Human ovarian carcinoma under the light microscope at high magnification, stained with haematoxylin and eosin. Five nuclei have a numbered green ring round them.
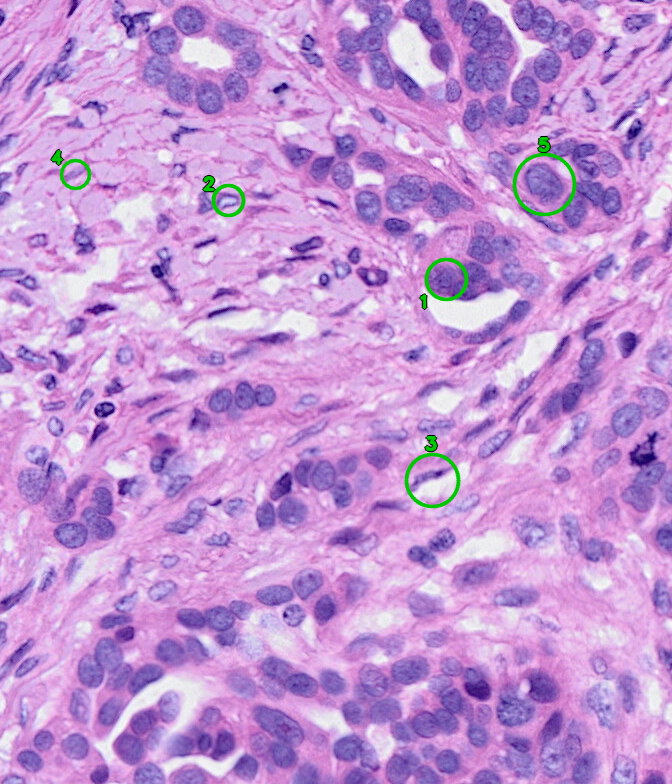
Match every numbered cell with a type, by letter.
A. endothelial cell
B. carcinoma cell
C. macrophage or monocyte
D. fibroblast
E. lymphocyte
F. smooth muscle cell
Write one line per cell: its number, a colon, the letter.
1: B
2: D
3: D
4: D
5: B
